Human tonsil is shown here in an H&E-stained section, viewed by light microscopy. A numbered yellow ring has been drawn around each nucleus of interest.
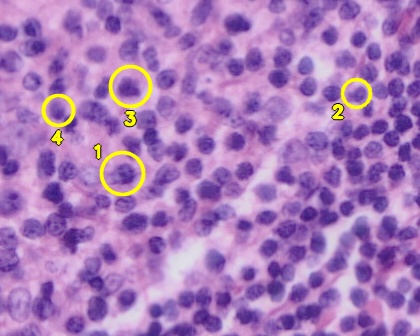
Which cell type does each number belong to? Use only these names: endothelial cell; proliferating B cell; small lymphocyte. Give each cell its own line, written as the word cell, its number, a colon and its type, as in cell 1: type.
cell 1: proliferating B cell
cell 2: small lymphocyte
cell 3: proliferating B cell
cell 4: proliferating B cell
